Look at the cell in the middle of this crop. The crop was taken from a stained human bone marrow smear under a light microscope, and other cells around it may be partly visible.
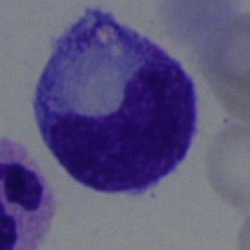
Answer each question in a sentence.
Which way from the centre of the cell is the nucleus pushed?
The nucleus sits off-centre, toward the lower right.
